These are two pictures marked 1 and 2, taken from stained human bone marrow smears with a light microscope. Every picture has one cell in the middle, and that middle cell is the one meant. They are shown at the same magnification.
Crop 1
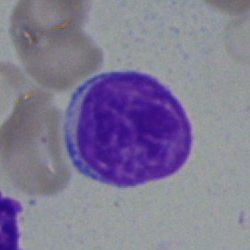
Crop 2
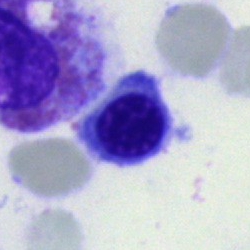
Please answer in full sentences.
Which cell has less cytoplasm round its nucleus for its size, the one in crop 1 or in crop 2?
It is the cell in crop 1 that is filled more by its nucleus.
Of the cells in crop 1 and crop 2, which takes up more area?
It is the cell in crop 1, about 2 times as large in area as the cell in crop 2.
